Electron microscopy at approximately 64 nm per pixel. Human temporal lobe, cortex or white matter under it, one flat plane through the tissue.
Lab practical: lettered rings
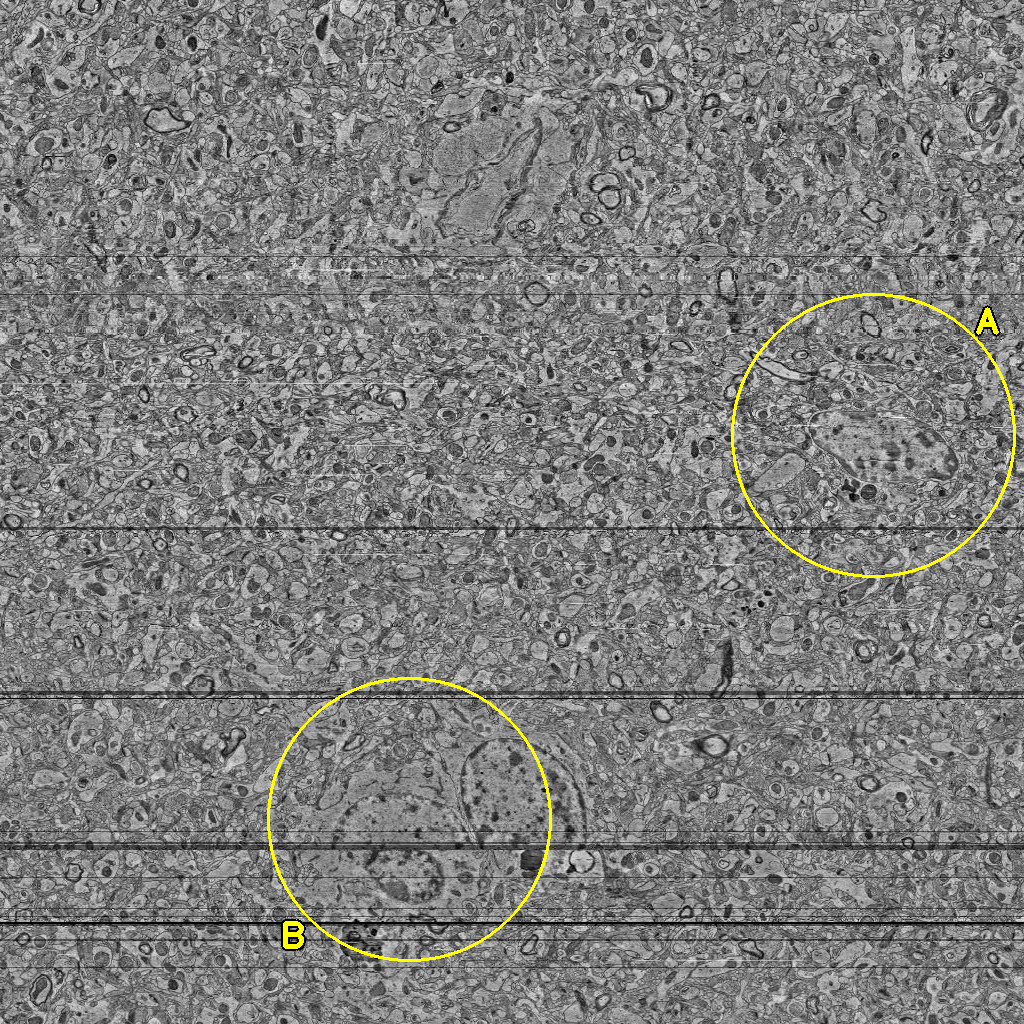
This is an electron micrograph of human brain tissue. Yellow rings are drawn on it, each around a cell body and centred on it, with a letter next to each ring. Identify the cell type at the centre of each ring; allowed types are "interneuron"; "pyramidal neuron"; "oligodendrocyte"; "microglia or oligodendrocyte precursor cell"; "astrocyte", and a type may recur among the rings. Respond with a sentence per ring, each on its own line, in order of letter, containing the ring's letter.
Lying at the centre of ring A is a microglial cell or oligodendrocyte precursor cell.
Lying at the centre of ring B is an astrocyte.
